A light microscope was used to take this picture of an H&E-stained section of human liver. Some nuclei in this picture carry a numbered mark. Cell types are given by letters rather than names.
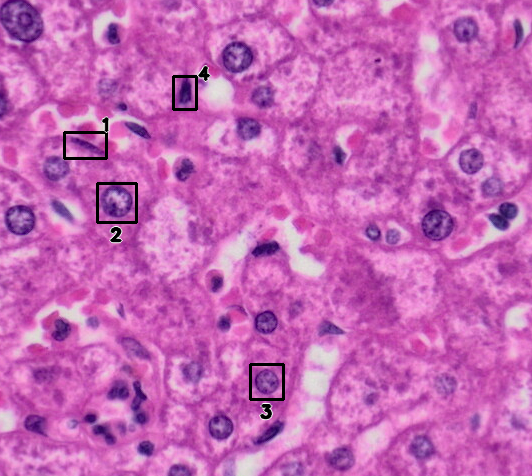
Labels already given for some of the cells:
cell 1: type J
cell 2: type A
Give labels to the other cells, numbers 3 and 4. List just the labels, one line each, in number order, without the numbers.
type A
type J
